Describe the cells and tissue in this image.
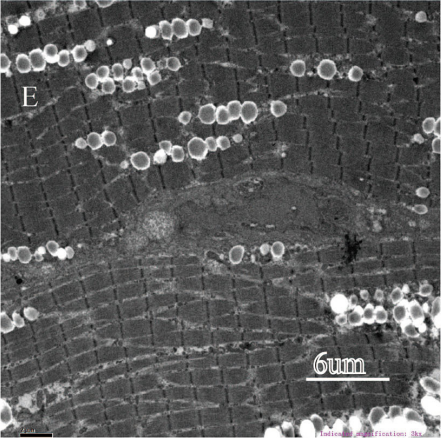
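This is an electron micrograph of skeletal muscle fibers cut lengthwise, showing myofibrils with regular cross-striations and dark Z-lines. Between the myofibrils lie rows and clusters of round droplets with pale, bright rims and greyish interiors. The droplets line up in chains parallel to the myofibrils and gather in larger clumps at the edges of the field. A nucleus with granular chromatin lies in the middle of the field between fibers.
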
